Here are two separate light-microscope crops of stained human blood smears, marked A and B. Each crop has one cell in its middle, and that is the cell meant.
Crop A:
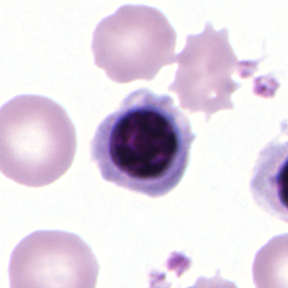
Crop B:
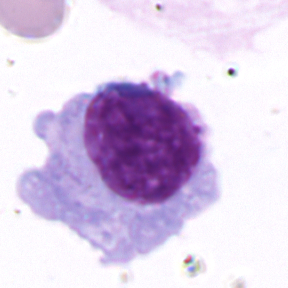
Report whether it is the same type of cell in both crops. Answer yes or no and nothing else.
no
